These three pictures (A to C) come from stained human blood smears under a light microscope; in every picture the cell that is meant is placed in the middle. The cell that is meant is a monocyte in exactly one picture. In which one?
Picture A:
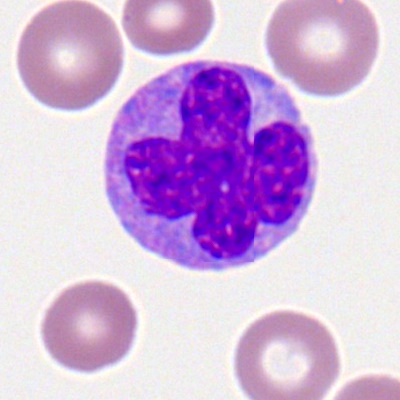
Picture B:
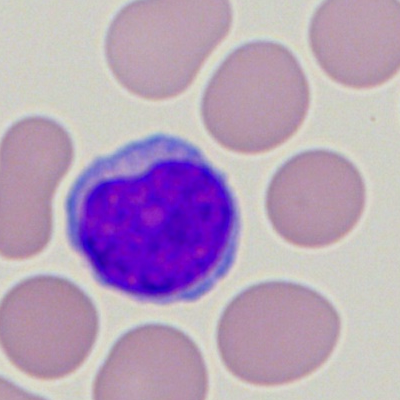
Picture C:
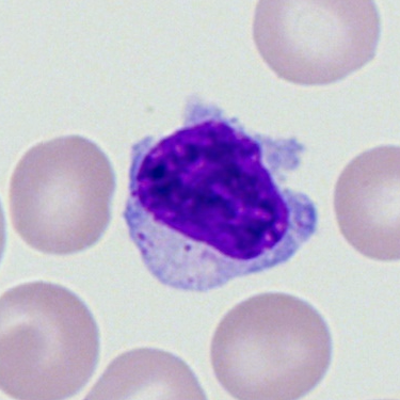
A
